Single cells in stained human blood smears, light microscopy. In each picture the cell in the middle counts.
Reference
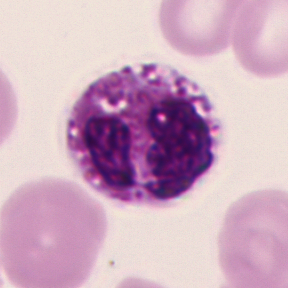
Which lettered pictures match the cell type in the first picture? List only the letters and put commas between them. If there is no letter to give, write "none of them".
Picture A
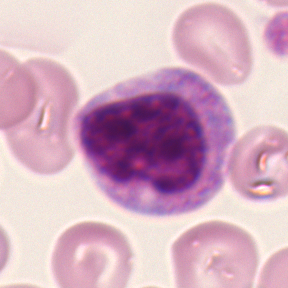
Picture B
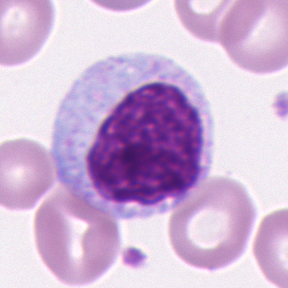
none of them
